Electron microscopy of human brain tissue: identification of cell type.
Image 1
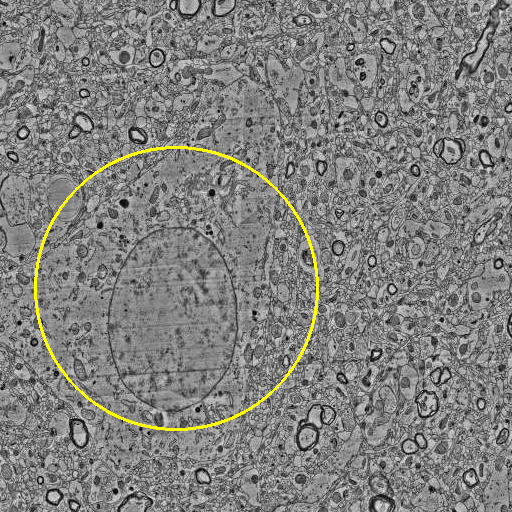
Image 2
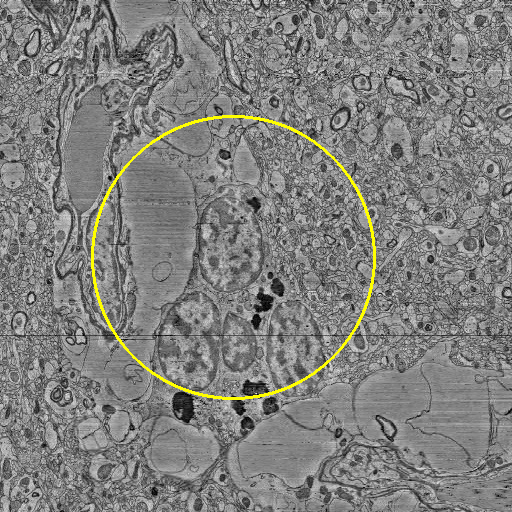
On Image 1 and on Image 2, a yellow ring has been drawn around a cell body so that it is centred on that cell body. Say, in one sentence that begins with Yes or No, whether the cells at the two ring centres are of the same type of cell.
No, the two cells are two separate types of cell.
